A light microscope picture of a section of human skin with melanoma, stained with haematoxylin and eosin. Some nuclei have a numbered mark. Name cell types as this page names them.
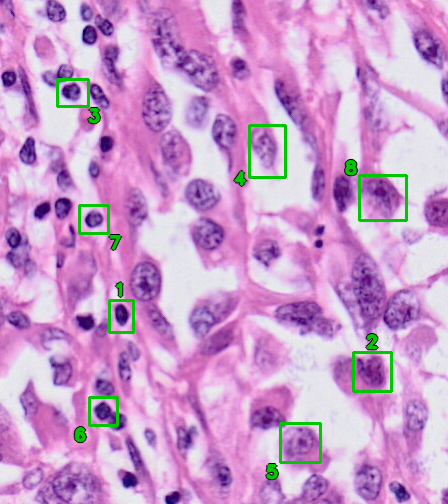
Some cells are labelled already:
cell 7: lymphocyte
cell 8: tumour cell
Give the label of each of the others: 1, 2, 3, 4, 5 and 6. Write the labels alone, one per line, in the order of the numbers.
lymphocyte
tumour cell
lymphocyte
tumour cell
tumour cell
lymphocyte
